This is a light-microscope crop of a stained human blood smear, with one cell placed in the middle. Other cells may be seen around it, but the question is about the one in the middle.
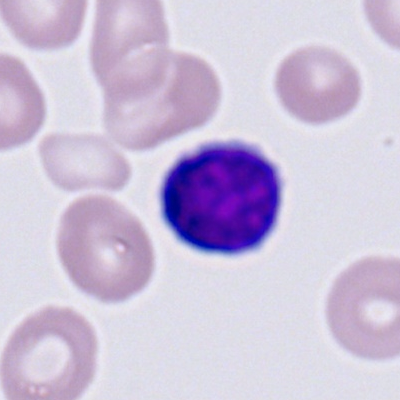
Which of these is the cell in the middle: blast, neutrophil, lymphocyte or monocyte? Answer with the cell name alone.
lymphocyte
